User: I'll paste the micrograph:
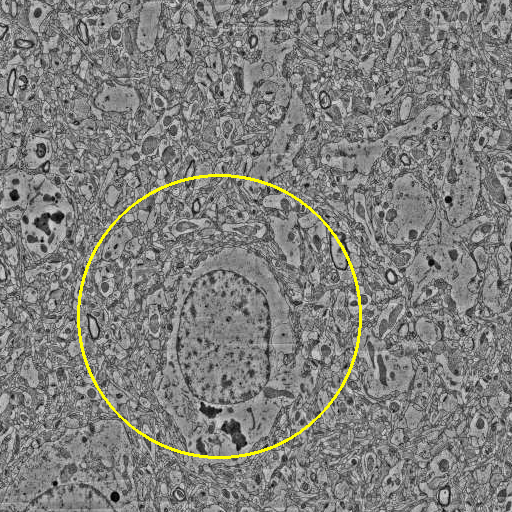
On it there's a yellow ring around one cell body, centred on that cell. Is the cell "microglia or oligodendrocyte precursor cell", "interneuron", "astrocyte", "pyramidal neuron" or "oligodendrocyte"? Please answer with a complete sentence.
The cell ringed in yellow is an astrocyte.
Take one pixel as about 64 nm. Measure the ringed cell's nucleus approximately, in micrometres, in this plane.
The ringed cell's nucleus measures approximately 9 by 6 micrometres in this plane.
